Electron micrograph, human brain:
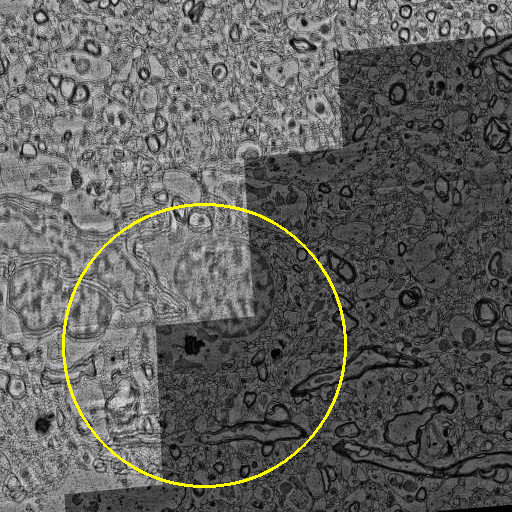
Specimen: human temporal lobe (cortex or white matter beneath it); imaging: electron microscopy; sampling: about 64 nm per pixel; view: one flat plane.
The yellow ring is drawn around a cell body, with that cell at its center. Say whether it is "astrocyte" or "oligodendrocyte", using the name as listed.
oligodendrocyte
